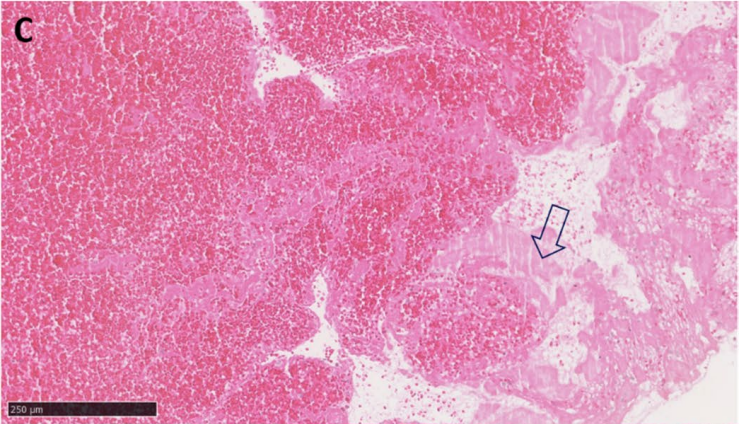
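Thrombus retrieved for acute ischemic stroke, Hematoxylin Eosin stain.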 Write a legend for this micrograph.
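This is an erythrocyte-rich area of a blood clot. Most of the field is taken up by closely packed red blood cells, small, round, bright red and without nuclei, forming dense lobulated masses separated by narrow clefts. Along the right side the red mass gives way to paler pink, more homogeneous and streaky material in which only scattered cells lie.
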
